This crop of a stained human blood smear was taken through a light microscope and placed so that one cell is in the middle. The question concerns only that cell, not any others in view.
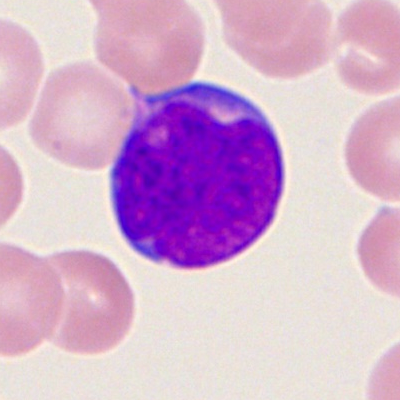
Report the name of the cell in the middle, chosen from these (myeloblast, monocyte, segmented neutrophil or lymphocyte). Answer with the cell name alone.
myeloblast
